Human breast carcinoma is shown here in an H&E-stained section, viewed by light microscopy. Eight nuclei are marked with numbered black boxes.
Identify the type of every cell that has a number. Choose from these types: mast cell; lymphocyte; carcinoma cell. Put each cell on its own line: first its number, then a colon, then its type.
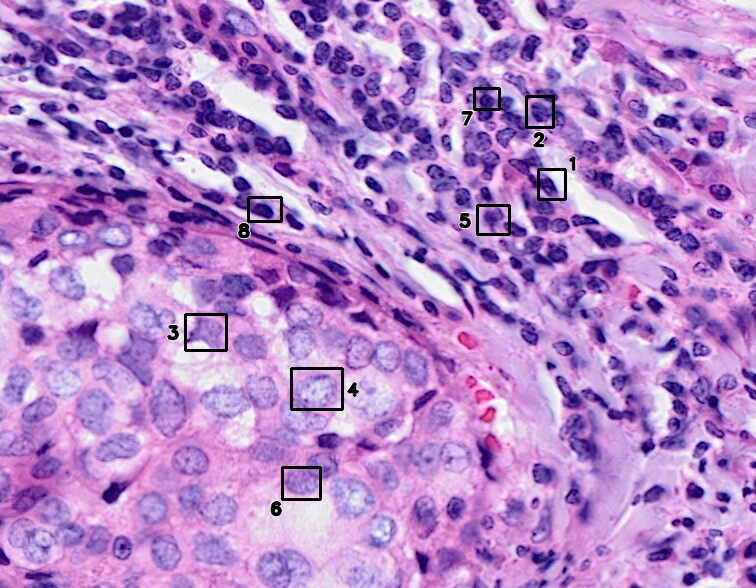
1: lymphocyte
2: lymphocyte
3: carcinoma cell
4: carcinoma cell
5: lymphocyte
6: carcinoma cell
7: lymphocyte
8: lymphocyte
